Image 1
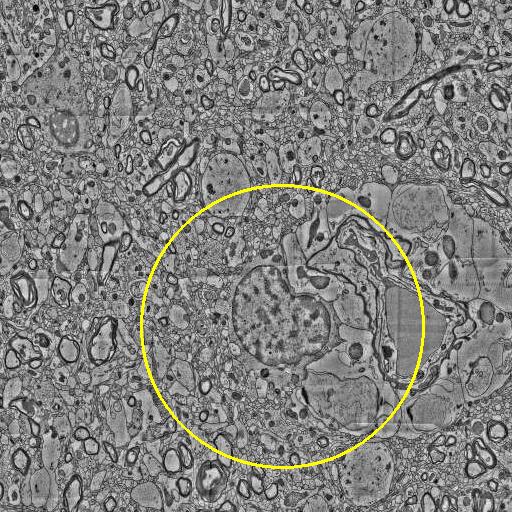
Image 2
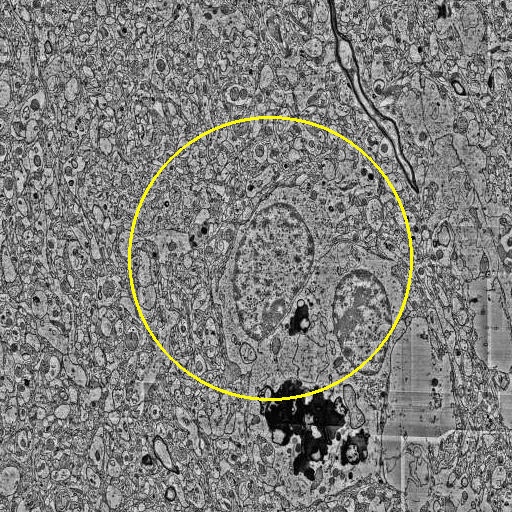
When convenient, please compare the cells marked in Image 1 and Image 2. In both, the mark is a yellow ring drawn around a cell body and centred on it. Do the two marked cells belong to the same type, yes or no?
no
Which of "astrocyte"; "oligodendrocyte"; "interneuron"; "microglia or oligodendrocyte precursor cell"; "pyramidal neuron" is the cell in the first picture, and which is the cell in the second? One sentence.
The two differ: the first cell is an oligodendrocyte and the second is an astrocyte.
